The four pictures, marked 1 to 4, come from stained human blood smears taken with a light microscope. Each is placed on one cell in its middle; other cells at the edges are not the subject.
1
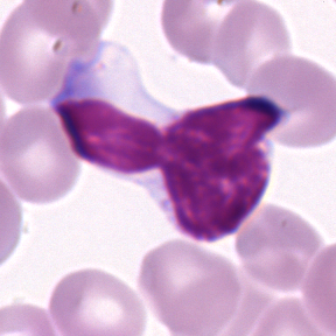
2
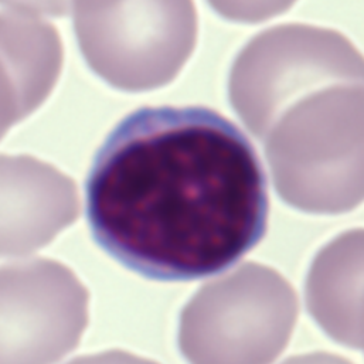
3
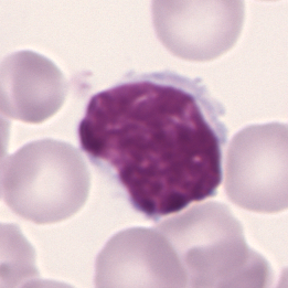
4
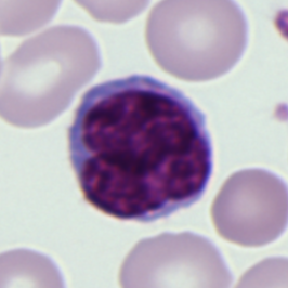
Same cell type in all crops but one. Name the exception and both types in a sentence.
Excluding crop 1, which is a large granular lymphocyte, the crops all show typical lymphocytes.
